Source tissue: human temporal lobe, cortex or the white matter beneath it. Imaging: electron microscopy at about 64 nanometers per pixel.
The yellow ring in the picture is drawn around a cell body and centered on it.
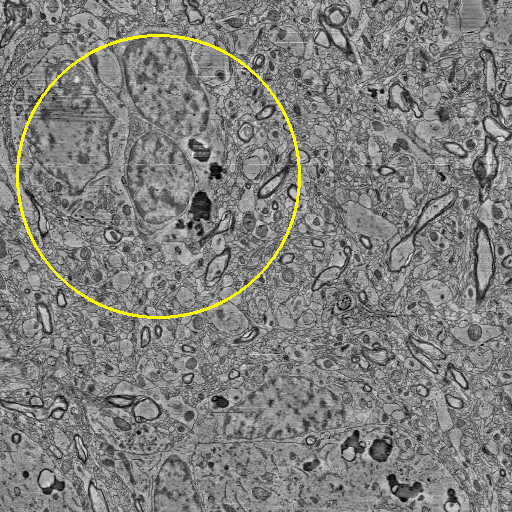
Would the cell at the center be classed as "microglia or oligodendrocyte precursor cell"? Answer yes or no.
No, it belongs to another class.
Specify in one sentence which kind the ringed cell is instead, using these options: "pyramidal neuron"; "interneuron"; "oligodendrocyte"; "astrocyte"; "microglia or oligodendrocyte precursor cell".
The cell enclosed by the ring is an oligodendrocyte.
